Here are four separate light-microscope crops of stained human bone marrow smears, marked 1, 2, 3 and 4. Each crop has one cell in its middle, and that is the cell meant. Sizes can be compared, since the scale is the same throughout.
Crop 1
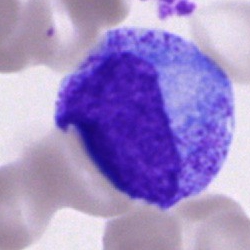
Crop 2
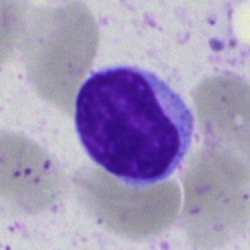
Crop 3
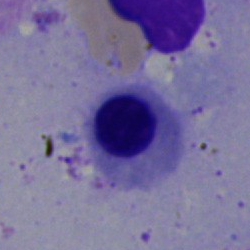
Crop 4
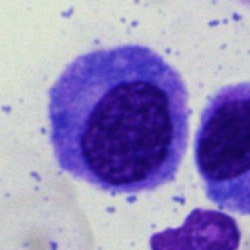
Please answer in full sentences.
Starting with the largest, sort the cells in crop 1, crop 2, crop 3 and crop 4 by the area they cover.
Largest first: 1, 4, 2, 3.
